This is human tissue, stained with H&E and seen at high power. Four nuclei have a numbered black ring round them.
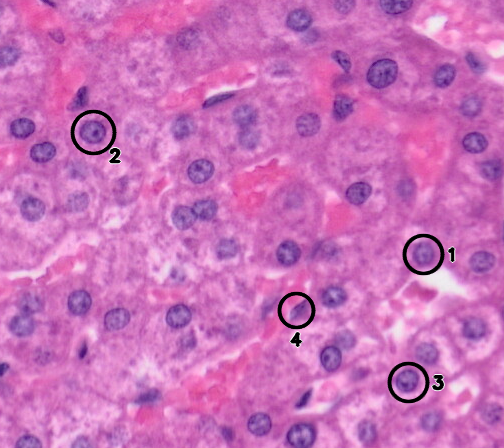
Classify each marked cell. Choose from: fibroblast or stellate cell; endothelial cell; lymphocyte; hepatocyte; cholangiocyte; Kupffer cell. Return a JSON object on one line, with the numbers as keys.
{"1": "hepatocyte", "2": "hepatocyte", "3": "hepatocyte", "4": "endothelial cell"}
